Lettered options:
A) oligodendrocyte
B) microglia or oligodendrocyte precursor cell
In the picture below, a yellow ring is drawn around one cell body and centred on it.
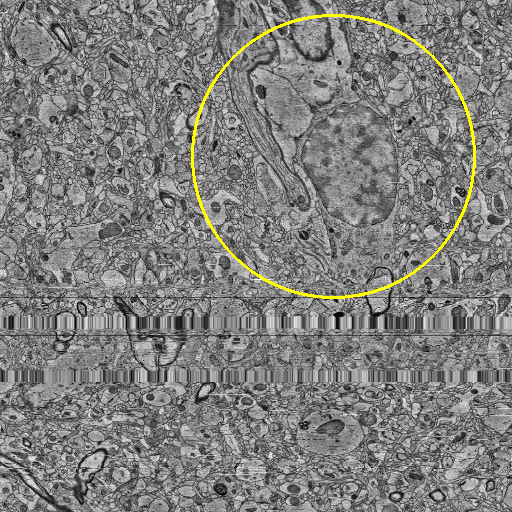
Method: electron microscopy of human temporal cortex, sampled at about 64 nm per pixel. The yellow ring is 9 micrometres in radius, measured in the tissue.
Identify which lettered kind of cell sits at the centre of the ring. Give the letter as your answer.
A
